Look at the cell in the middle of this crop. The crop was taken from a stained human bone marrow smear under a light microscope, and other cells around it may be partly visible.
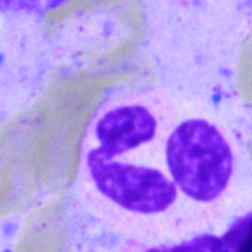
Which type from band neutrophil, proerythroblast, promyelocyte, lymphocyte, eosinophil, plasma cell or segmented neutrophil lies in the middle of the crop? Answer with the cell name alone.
segmented neutrophil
